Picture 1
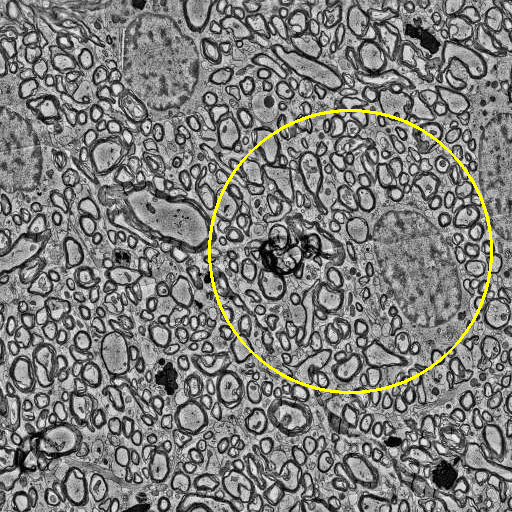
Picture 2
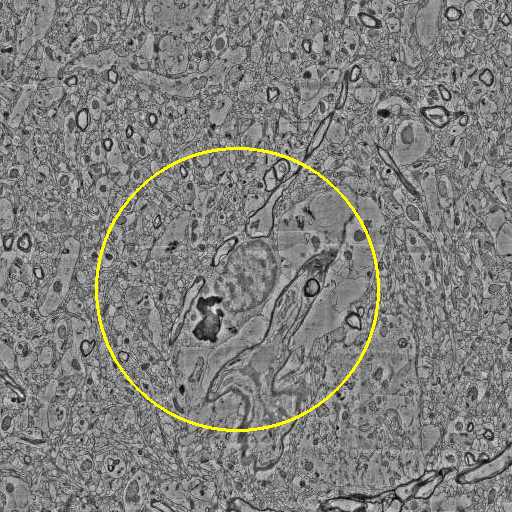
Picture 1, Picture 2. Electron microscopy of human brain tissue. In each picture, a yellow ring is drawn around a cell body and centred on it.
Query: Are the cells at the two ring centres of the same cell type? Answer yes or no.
yes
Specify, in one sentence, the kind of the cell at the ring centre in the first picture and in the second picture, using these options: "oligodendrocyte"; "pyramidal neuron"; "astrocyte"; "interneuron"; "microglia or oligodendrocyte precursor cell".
In each picture the ringed cell is an oligodendrocyte.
